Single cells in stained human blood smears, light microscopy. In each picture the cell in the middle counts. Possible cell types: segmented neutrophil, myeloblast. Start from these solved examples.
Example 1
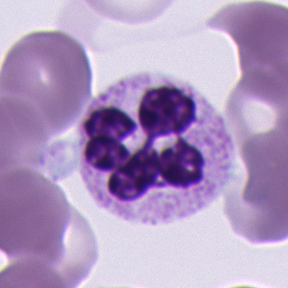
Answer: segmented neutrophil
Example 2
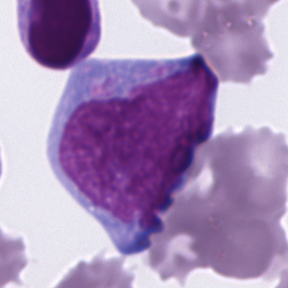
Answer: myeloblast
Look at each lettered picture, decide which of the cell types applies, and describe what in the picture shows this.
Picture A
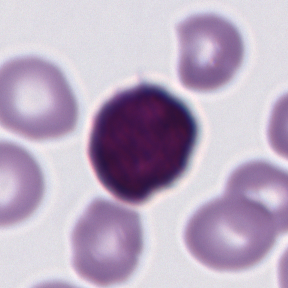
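Answer: myeloblast. The nucleus fills almost the whole cell.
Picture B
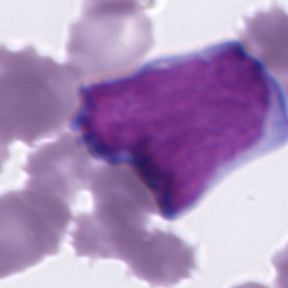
Answer: myeloblast. The nucleus fills almost the whole cell.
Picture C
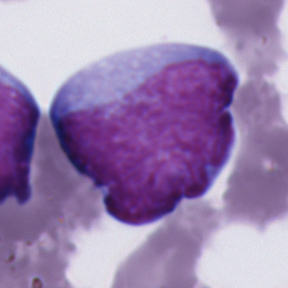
Answer: myeloblast. The nucleus fills most of the cell.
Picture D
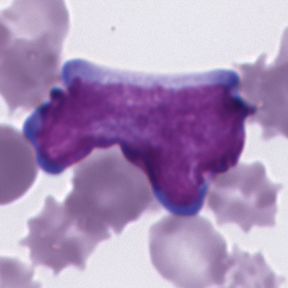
Answer: myeloblast. The cytoplasm is a thin rim of deep blue.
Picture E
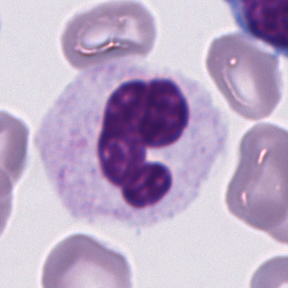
Answer: segmented neutrophil. The cytoplasm is abundant and pale pinkish-lilac.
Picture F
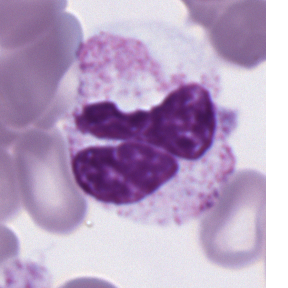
Answer: segmented neutrophil. Between the granules the cytoplasm is pale and nearly colourless.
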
